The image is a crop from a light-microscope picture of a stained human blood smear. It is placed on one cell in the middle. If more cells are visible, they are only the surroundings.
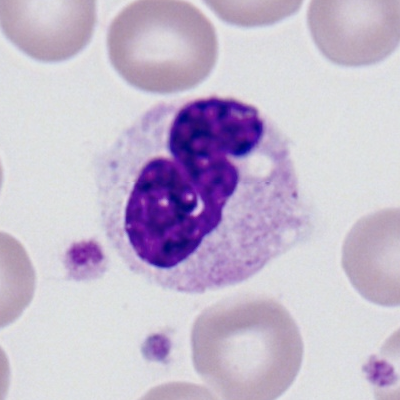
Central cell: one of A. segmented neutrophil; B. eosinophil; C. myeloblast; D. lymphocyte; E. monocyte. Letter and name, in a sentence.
Option A is correct; the cell in the middle is a segmented neutrophil.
